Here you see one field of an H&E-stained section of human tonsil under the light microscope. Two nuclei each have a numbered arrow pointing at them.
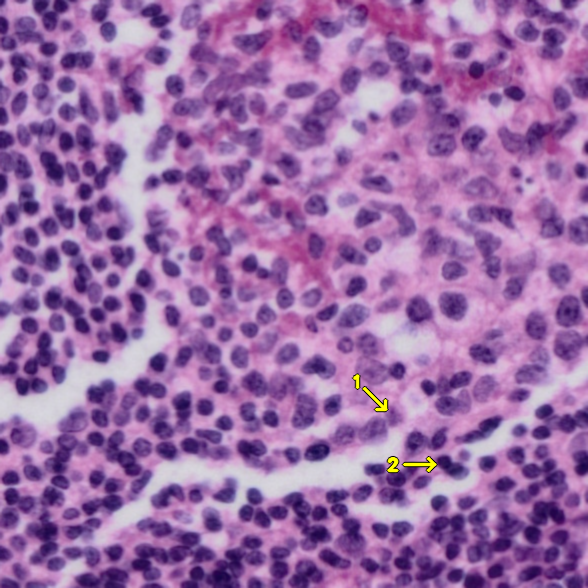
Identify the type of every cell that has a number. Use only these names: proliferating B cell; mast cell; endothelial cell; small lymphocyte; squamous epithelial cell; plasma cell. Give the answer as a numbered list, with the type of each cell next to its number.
1. proliferating B cell
2. small lymphocyte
